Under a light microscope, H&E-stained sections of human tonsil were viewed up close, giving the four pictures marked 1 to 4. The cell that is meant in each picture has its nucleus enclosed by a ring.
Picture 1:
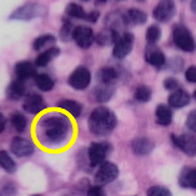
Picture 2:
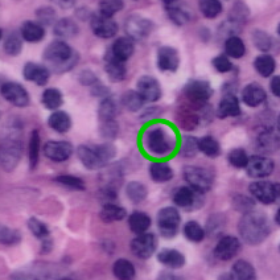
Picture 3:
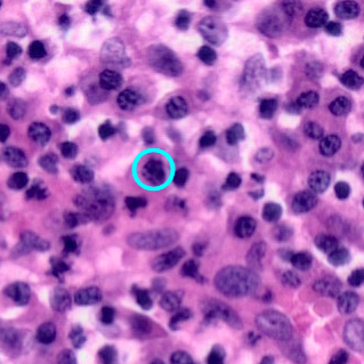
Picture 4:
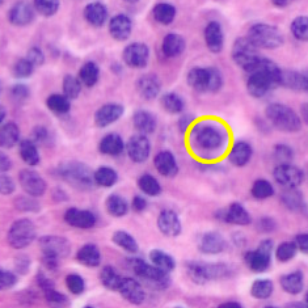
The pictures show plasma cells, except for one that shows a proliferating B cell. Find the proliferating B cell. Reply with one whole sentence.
The cell in picture 1 is the proliferating B cell.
